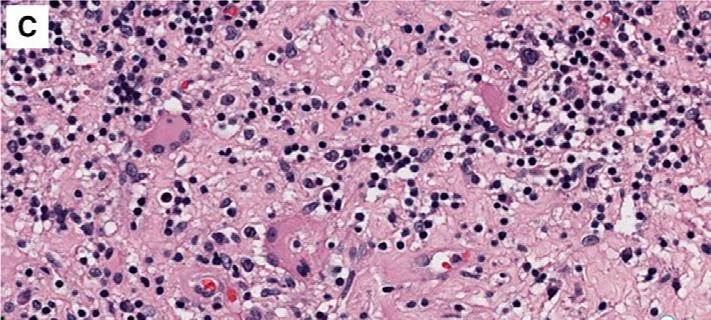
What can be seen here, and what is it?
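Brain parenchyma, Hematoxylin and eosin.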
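Large cells with abundant glassy pink cytoplasm and several nuclei stand out among scattered smaller cells: small round dark nuclei of lymphocytes and cells with larger oval paler nuclei. The background is pale pink, loose and finely vacuolated, with cells set far apart, and a small vessel holds red blood cells. The large cells are multinucleated giant cells within a lymphocytic inflammatory infiltrate, and the loose, watery background is edematous neuropil.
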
